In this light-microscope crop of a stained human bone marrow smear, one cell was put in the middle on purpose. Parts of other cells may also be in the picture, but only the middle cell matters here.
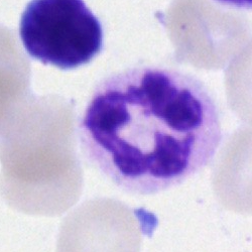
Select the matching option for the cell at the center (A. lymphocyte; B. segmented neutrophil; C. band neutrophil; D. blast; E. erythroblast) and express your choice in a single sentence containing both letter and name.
Option B, which names the central cell as a segmented neutrophil, is correct.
